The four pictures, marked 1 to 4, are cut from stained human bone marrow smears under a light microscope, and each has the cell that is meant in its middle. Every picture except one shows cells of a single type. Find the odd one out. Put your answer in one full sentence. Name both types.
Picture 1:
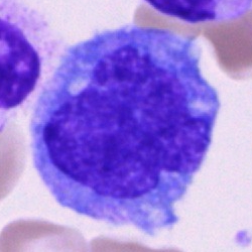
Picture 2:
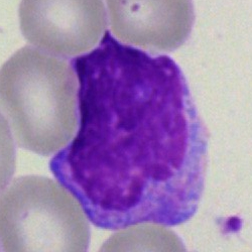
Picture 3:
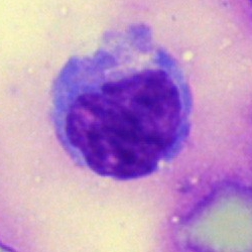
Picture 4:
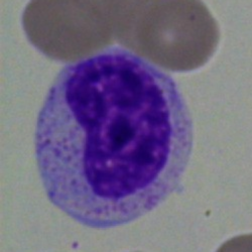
Picture 4 differs, because its cell is a metamyelocyte and the rest are monocytes.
